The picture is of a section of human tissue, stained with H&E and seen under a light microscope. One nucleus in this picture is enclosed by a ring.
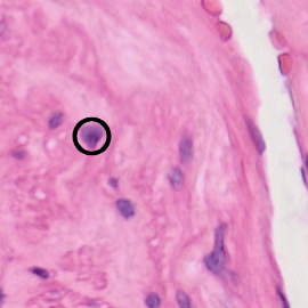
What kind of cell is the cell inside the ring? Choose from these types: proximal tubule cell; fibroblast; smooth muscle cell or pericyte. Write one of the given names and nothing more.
smooth muscle cell or pericyte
